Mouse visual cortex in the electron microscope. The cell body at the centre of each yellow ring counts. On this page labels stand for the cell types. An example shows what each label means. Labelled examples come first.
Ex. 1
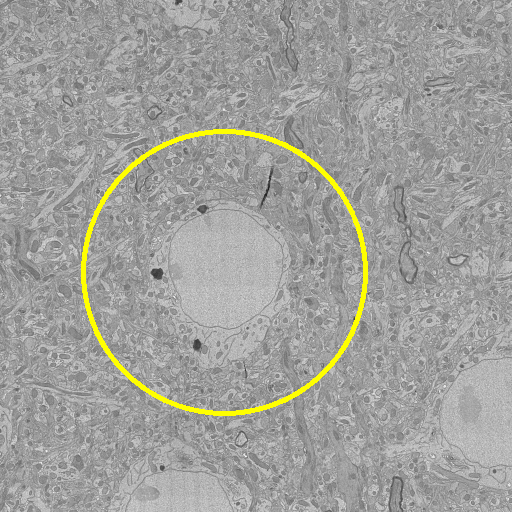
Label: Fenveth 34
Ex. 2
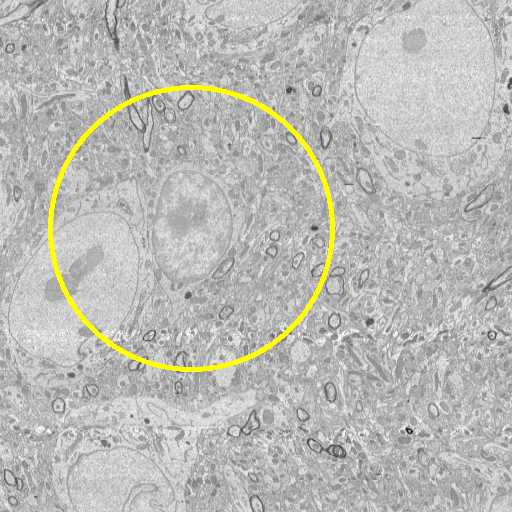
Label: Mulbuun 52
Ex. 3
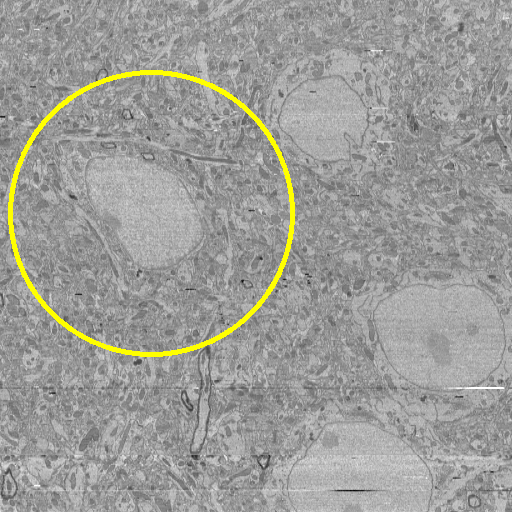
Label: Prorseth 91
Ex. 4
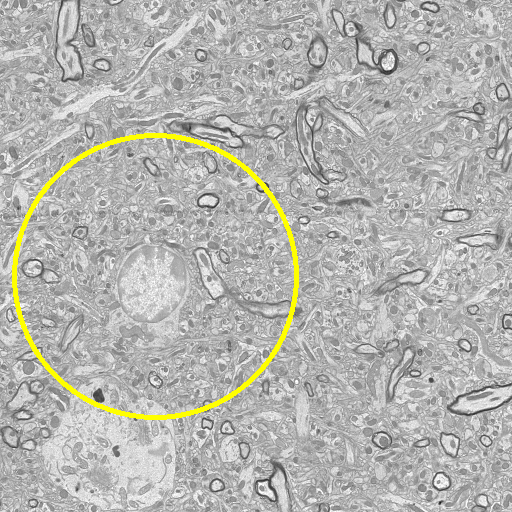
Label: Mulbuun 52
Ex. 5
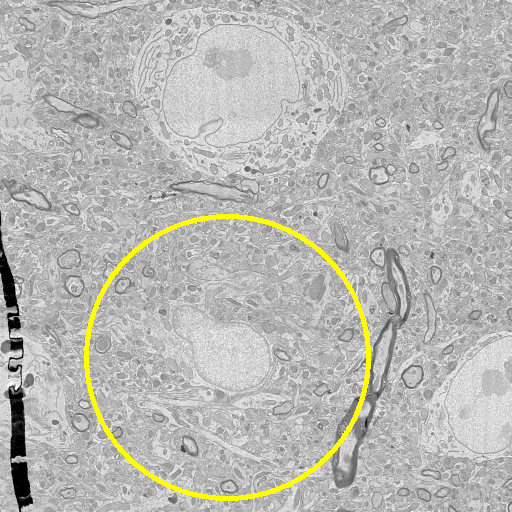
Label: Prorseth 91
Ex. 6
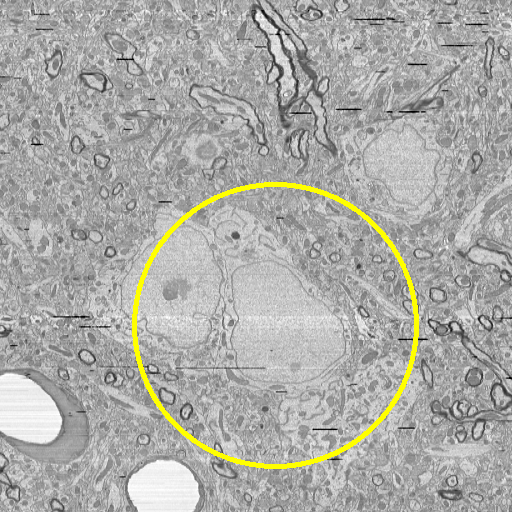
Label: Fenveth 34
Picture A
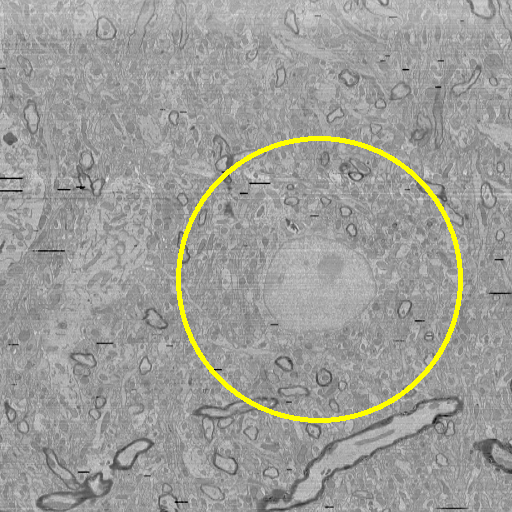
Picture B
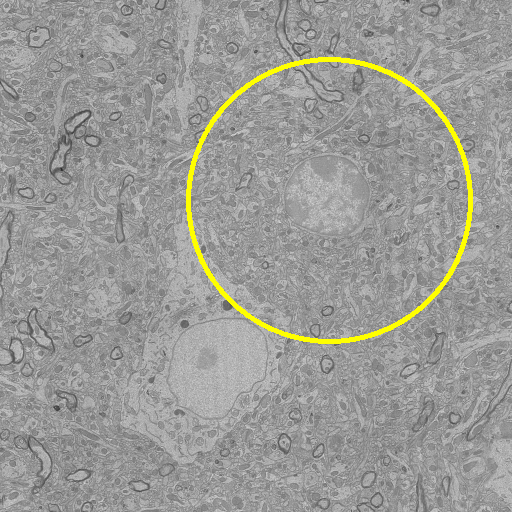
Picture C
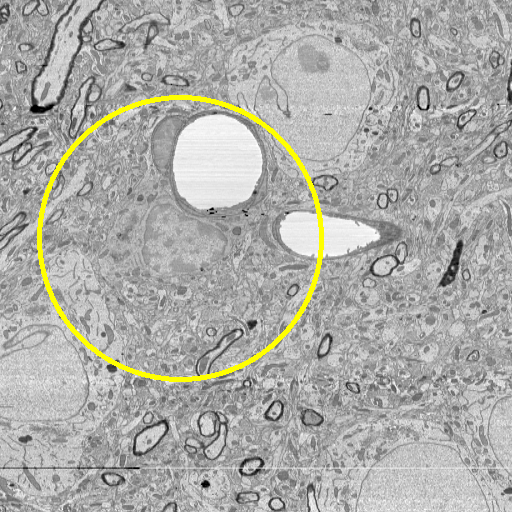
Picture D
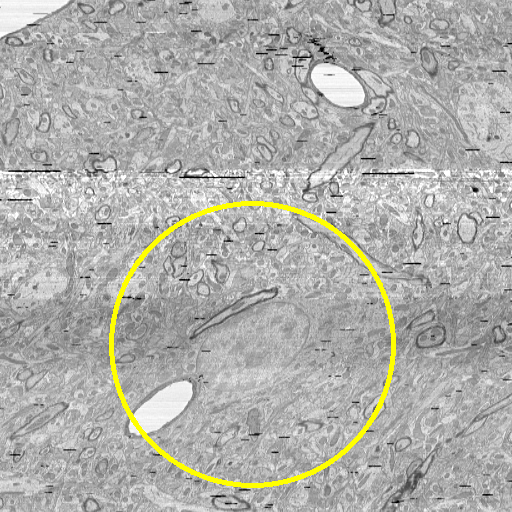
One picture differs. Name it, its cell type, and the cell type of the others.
A differs and shows Prorseth 91; the others show Mulbuun 52.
